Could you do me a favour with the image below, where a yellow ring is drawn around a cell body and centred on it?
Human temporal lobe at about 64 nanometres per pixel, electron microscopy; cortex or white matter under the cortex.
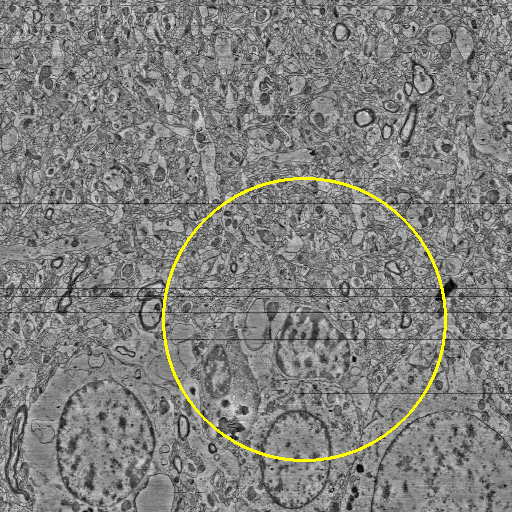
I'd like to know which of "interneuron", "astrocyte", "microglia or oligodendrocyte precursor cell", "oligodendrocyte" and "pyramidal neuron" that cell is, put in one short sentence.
The cell at the ring's centre is a microglial cell or oligodendrocyte precursor cell.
